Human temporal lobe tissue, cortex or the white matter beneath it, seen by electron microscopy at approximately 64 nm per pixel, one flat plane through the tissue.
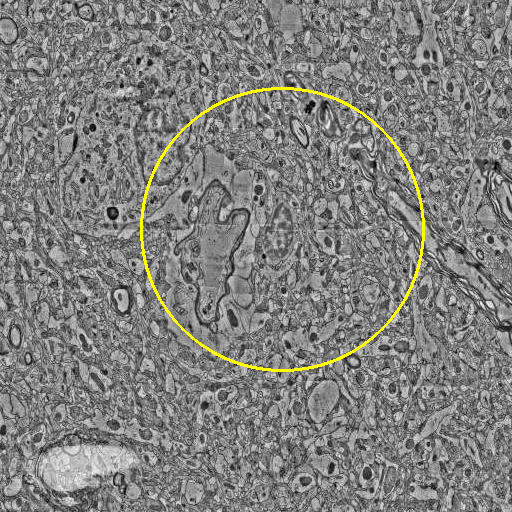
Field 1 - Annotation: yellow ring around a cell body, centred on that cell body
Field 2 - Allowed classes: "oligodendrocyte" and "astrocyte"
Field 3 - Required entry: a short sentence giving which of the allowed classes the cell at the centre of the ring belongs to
The centred cell is an oligodendrocyte.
